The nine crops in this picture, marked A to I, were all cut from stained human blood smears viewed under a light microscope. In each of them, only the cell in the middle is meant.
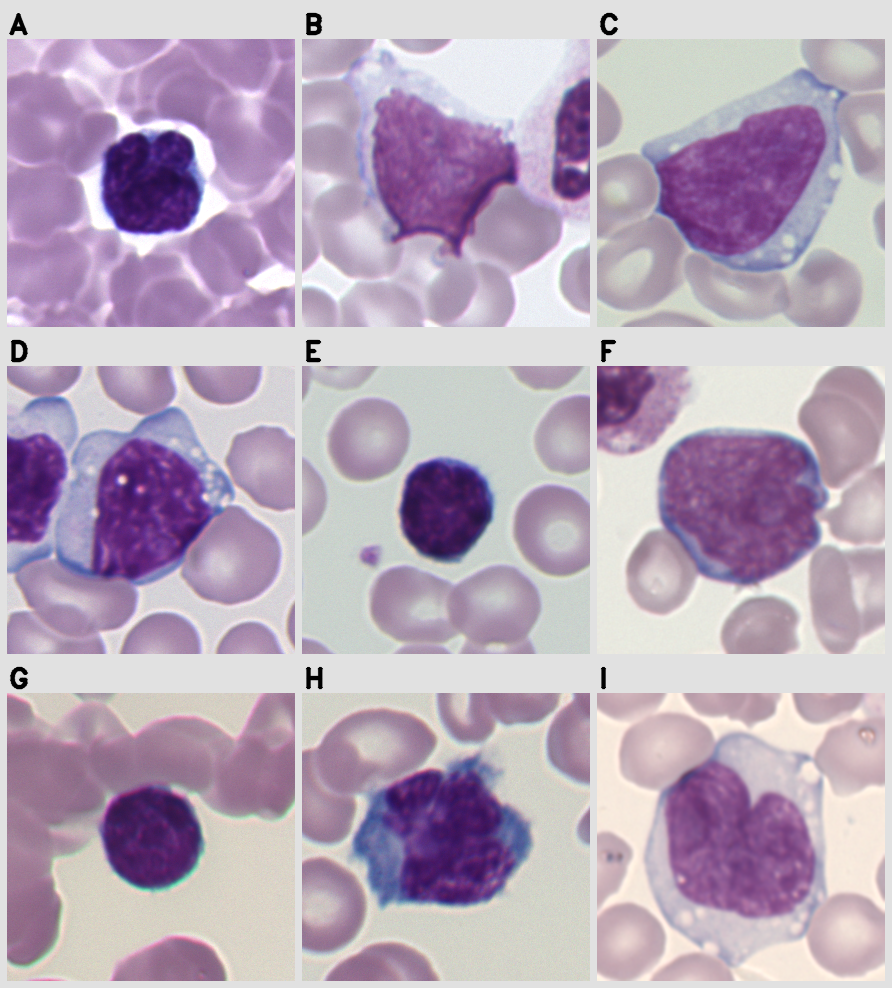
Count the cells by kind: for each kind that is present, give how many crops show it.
myeloblast: 5
typical lymphocyte: 4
